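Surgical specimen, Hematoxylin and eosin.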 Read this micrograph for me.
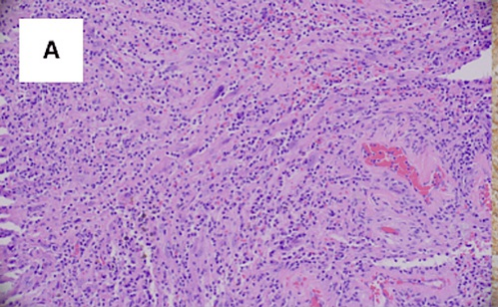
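This section shows a densely cellular tissue made of elongated spindle-shaped cells. A blood vessel filled with bright red blood cells runs through the right part of the field, surrounded by looser pink tissue. Scattered small round dark nuclei are mixed among the spindle cells. No glands or epithelial lining are seen within the lesion.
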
